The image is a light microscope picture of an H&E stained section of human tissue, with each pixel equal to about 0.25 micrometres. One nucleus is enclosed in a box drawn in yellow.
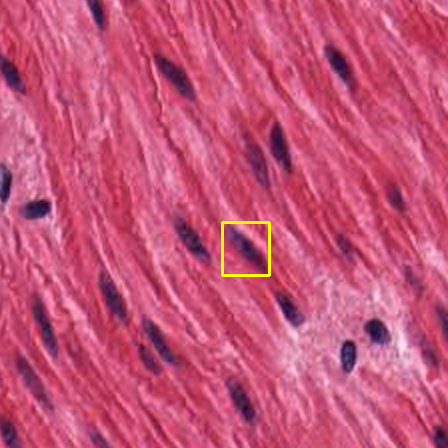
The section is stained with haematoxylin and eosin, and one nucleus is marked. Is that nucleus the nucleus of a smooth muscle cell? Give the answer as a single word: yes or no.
yes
